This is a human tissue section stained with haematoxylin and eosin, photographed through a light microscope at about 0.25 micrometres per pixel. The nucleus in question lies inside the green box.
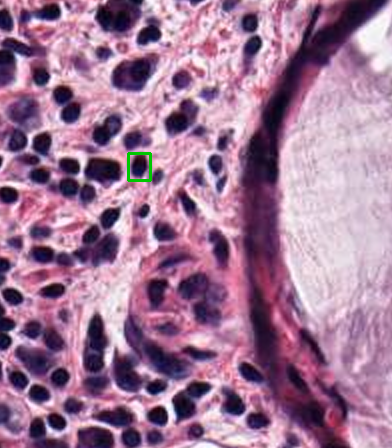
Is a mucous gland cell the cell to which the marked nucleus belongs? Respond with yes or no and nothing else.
no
